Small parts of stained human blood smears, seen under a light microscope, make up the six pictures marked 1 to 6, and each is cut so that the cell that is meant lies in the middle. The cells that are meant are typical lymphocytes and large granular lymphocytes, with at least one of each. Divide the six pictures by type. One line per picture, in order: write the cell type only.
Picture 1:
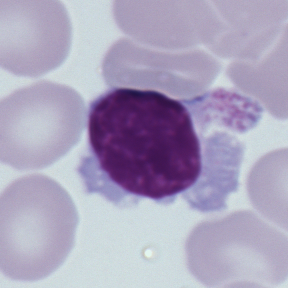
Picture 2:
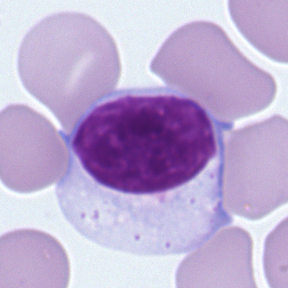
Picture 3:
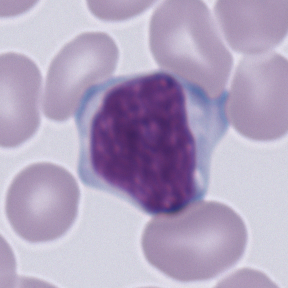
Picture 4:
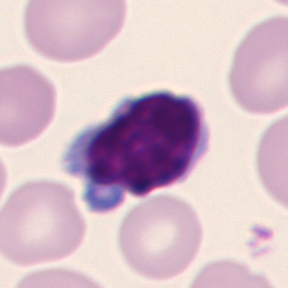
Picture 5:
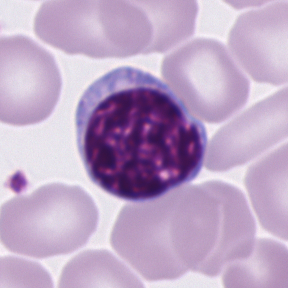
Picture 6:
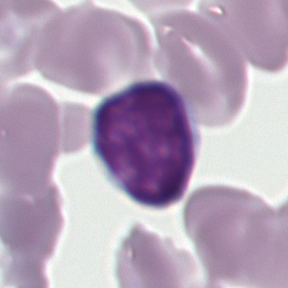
large granular lymphocyte
large granular lymphocyte
typical lymphocyte
typical lymphocyte
typical lymphocyte
typical lymphocyte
